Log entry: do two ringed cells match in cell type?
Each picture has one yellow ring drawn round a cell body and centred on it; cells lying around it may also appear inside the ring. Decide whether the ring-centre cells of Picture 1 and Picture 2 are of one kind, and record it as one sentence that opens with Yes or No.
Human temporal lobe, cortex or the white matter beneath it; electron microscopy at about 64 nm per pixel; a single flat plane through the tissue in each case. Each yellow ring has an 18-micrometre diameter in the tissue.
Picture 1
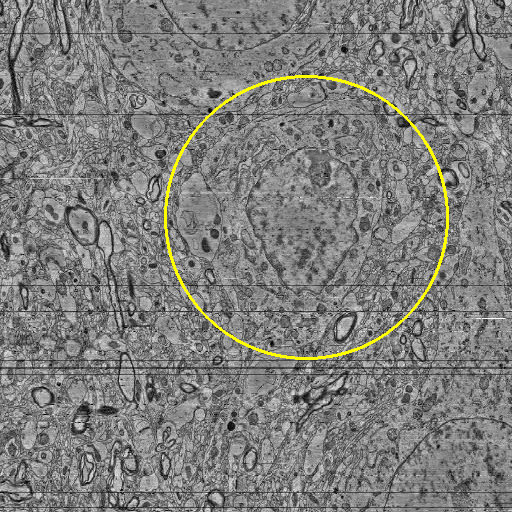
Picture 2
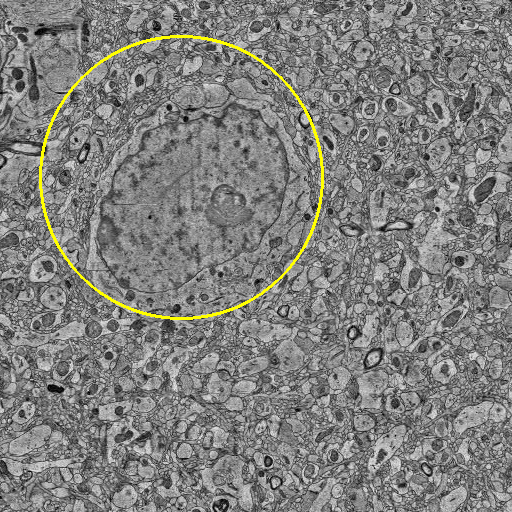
Yes, the cells at the ring centres of the two pictures belong to one kind.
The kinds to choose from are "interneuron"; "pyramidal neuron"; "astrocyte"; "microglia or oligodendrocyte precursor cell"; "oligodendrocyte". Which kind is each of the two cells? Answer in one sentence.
In each of the two pictures, the ringed cell is an interneuron.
